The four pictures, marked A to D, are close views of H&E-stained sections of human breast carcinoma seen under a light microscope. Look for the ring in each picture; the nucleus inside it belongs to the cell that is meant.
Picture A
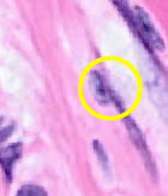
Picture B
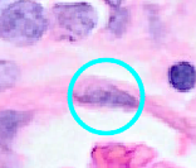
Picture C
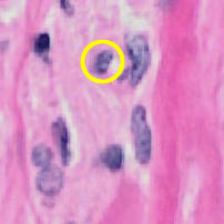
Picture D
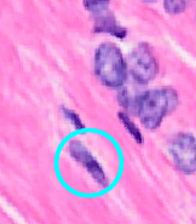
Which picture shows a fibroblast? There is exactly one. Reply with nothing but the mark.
D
